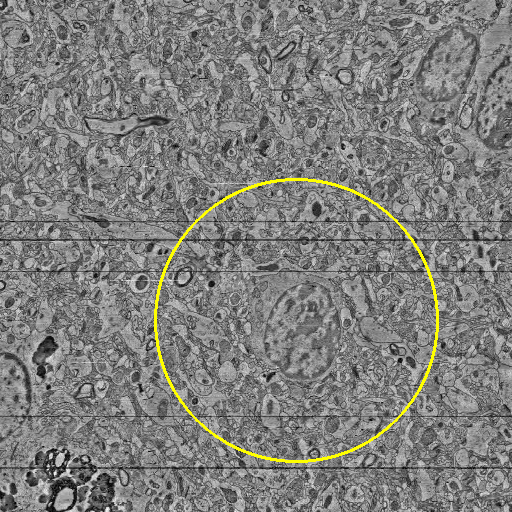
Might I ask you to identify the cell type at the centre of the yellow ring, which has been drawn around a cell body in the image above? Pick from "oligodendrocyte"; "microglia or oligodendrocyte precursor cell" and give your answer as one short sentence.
The centre of the ring falls on an oligodendrocyte.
